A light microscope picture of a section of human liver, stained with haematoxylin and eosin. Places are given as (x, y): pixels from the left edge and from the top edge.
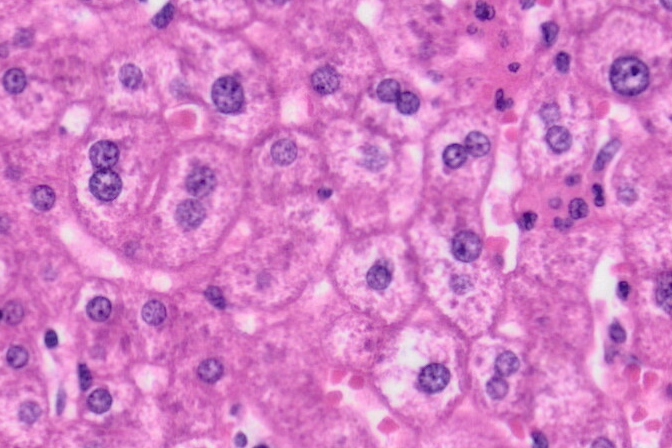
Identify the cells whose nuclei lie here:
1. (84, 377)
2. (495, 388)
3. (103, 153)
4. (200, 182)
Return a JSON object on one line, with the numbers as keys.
{"1": "fibroblast or stellate cell", "2": "hepatocyte", "3": "hepatocyte", "4": "hepatocyte"}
